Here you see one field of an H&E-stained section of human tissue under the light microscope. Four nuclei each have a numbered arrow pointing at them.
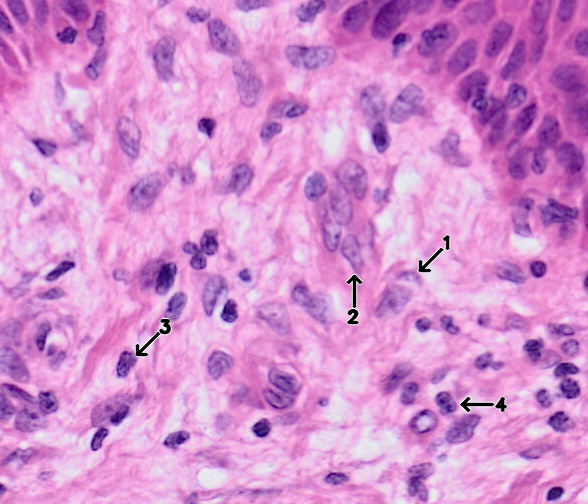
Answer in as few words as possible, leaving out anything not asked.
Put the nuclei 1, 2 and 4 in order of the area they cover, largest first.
2, 4, 1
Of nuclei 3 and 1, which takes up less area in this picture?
1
